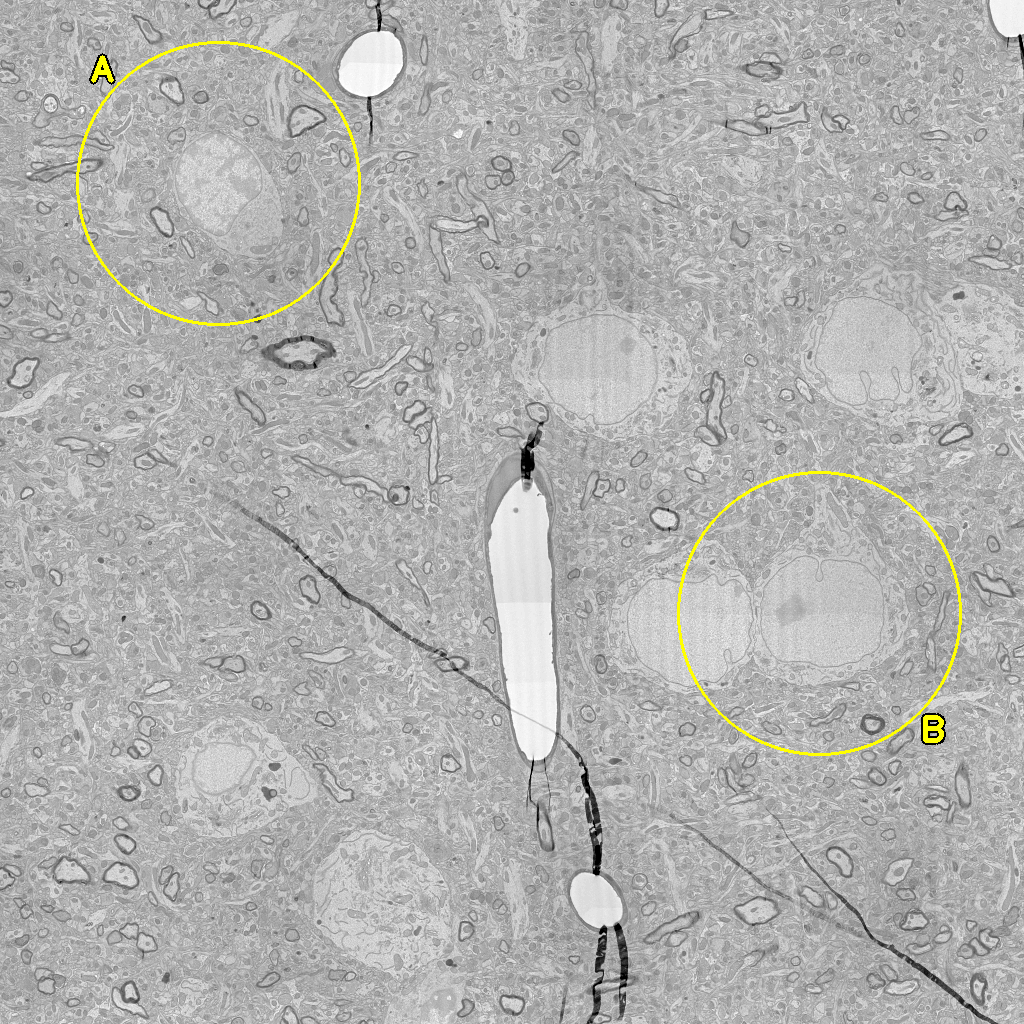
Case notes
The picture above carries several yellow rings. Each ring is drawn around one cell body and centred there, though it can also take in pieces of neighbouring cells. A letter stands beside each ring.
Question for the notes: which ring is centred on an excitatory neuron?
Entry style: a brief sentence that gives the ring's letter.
Ring B is centred on it.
